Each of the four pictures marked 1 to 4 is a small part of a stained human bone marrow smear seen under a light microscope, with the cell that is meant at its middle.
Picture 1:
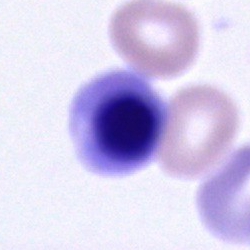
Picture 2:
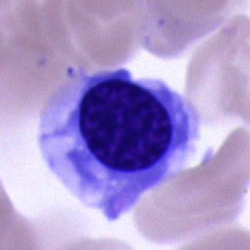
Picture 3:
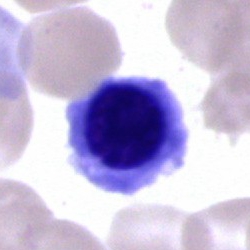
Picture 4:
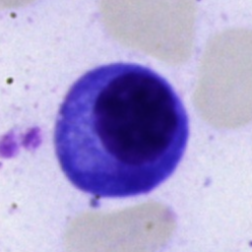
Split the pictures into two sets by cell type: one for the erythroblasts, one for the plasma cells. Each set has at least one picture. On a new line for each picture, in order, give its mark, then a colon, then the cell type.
1: erythroblast
2: erythroblast
3: erythroblast
4: plasma cell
